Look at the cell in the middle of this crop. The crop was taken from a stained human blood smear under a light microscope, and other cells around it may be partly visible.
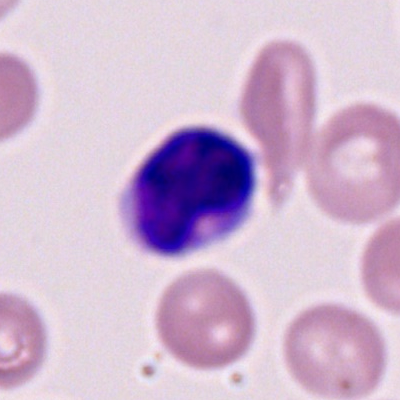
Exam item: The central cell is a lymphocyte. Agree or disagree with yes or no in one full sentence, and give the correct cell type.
Yes, the cell lying in the middle is a lymphocyte.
